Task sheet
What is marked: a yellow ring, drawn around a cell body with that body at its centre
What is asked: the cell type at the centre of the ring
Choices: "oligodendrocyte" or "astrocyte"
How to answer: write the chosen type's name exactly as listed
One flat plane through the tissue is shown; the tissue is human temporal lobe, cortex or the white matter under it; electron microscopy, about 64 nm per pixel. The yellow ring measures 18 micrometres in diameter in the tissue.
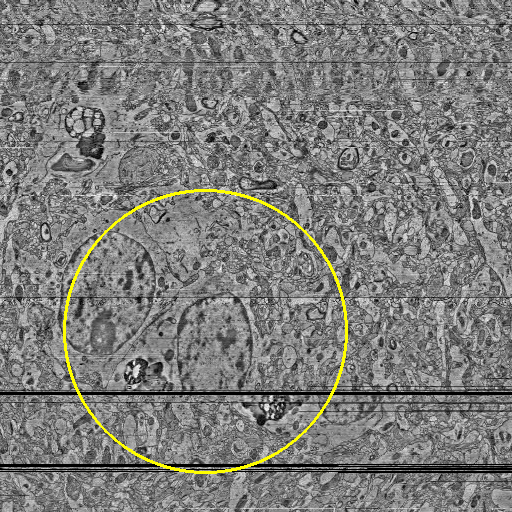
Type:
astrocyte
